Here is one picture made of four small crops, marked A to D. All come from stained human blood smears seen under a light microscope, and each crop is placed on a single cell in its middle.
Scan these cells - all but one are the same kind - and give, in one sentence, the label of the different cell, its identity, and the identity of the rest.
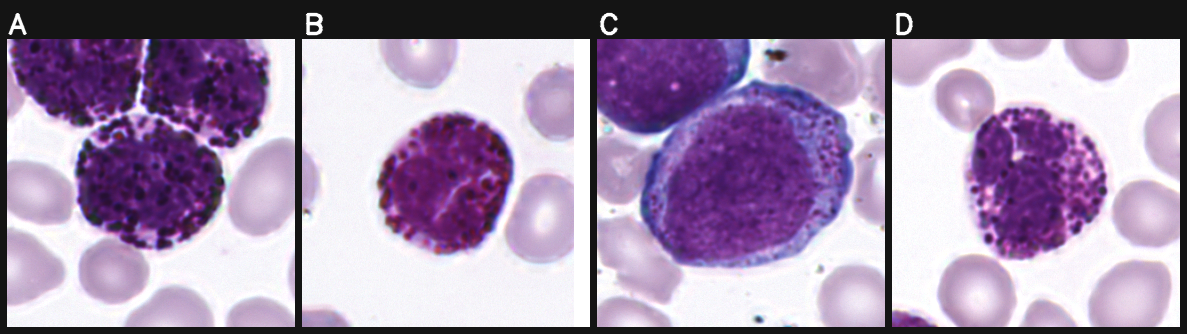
Apart from crop C, a promyelocyte, the crops all show basophils.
